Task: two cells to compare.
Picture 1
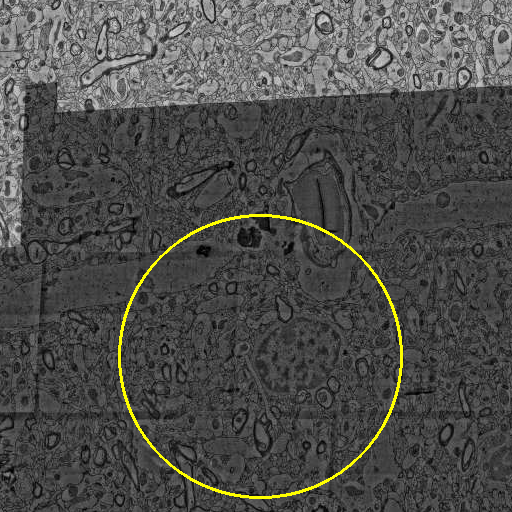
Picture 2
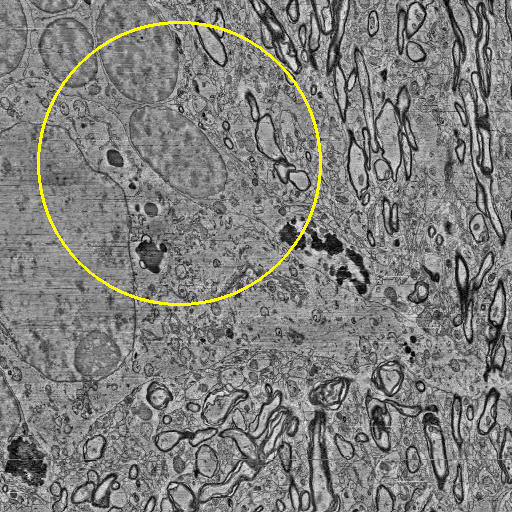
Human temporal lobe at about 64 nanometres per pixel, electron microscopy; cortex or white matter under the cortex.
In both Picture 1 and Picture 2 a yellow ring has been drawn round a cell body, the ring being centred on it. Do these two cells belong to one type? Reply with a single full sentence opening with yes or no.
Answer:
Yes, the two cells at the ring centres in Picture 1 and Picture 2 share one type.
